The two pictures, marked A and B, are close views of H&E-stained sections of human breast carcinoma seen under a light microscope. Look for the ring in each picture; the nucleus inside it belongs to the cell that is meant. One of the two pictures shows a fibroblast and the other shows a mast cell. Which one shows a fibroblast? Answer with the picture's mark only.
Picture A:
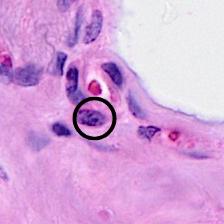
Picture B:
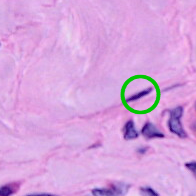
B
